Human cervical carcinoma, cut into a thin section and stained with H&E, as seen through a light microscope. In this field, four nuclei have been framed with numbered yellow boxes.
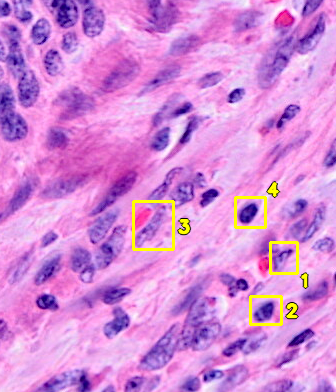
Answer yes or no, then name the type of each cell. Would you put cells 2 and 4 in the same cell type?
Yes, both are lymphocytes.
